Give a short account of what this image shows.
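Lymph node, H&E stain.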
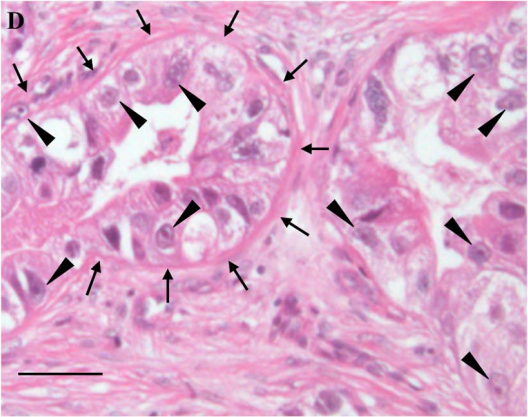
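The nests are rounded and surround pale or open lumens, and each is bordered by bands of pink collagenous tissue. The tumour cells have abundant pink cytoplasm and large, oval, vesicular nuclei, many of which contain a prominent dark nucleolus. Between the nests, the stroma holds thin, elongated spindle-shaped nuclei. The tumour nuclei are much larger and paler than the stromal nuclei around them.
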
